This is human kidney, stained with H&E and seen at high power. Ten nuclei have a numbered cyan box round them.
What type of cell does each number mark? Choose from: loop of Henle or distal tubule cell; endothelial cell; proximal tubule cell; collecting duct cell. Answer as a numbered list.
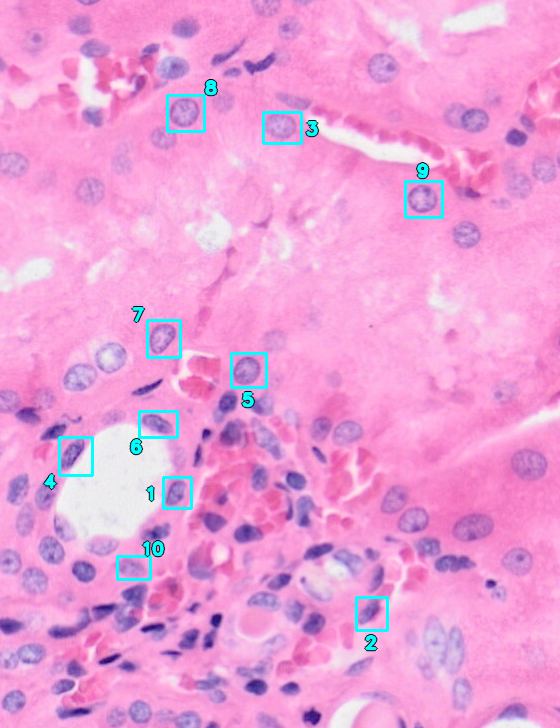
1. loop of Henle or distal tubule cell
2. endothelial cell
3. proximal tubule cell
4. loop of Henle or distal tubule cell
5. proximal tubule cell
6. loop of Henle or distal tubule cell
7. proximal tubule cell
8. proximal tubule cell
9. proximal tubule cell
10. loop of Henle or distal tubule cell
